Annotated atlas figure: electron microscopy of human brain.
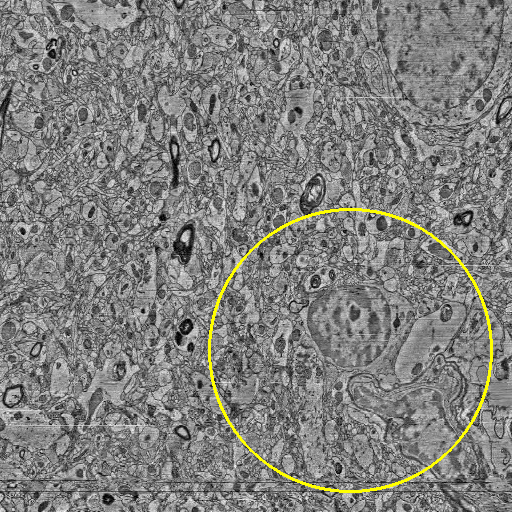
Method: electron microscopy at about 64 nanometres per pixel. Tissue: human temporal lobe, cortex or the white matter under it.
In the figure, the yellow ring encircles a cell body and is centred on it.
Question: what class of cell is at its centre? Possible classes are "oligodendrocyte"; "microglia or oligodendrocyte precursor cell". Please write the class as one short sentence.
The yellow ring is drawn around an oligodendrocyte.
